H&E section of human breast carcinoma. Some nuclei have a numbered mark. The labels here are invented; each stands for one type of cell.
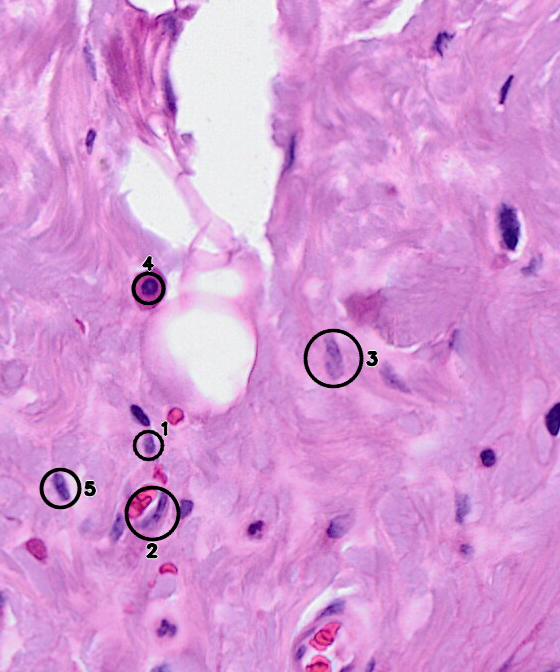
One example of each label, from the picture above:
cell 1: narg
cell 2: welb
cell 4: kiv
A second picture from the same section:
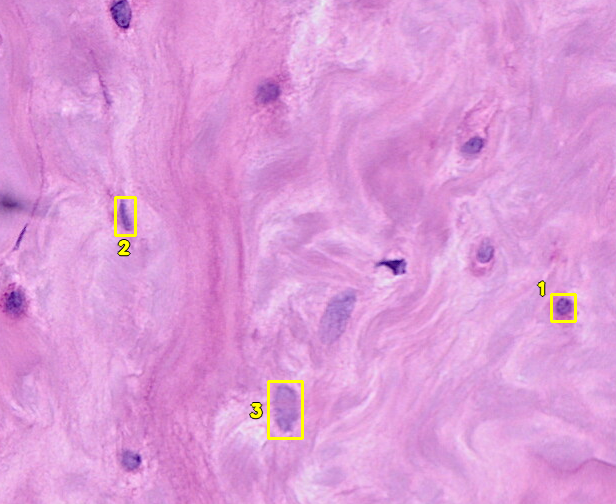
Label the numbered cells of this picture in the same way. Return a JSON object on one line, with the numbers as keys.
{"1": "kiv", "2": "narg", "3": "narg"}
